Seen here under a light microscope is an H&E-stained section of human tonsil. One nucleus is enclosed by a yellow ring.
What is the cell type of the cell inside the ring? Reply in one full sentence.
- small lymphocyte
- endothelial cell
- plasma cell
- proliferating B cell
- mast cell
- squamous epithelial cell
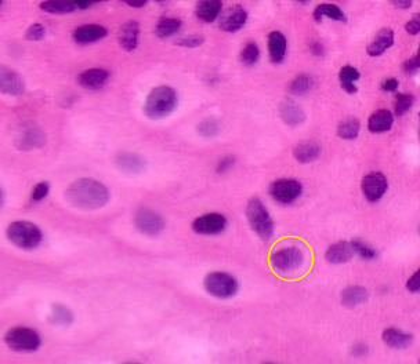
For cell typing purposes, the cell inside the ring is a squamous epithelial cell.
